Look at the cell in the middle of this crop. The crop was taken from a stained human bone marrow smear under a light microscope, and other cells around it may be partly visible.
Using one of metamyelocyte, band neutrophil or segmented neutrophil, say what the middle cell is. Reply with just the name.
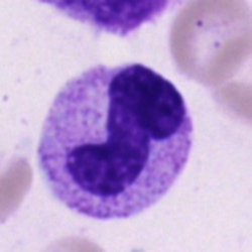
band neutrophil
